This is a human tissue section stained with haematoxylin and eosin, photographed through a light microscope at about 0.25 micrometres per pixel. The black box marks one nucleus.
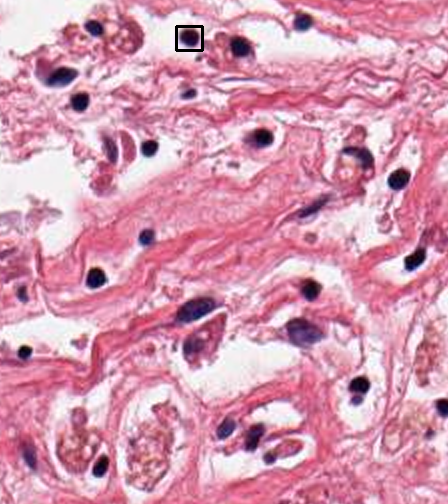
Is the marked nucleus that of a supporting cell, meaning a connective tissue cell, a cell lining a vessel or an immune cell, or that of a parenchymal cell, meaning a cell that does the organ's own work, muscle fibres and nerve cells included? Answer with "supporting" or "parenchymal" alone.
supporting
